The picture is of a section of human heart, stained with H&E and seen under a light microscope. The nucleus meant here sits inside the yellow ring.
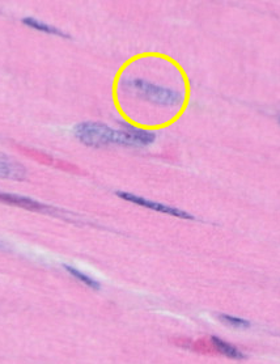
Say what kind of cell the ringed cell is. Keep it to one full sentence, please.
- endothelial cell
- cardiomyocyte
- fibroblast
Within this tissue, the ringed cell is a cardiomyocyte.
